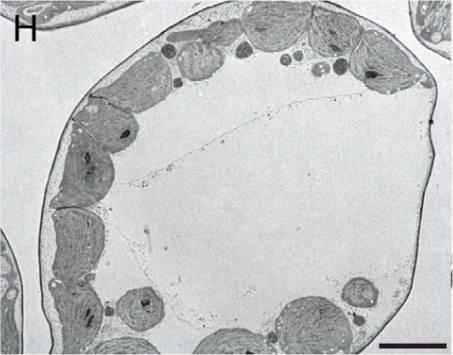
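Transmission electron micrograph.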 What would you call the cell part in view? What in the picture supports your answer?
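Chloroplasts. A row of oval membrane-filled organelles lines the inner side of the cell wall. A large empty central vacuole fills the rest of the cell.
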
